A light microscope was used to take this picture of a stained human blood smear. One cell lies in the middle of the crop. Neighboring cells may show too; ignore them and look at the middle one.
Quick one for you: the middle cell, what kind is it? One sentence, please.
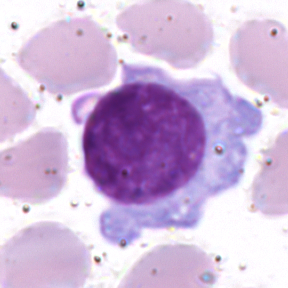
The cell shown in the center of this light-microscope crop is a plasma cell.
